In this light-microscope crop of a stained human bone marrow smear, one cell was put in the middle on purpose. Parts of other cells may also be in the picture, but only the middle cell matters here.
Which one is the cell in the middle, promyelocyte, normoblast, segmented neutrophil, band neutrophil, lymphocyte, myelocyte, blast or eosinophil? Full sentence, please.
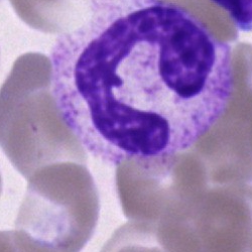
Looking at the middle of the crop, the cell there is a band neutrophil.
